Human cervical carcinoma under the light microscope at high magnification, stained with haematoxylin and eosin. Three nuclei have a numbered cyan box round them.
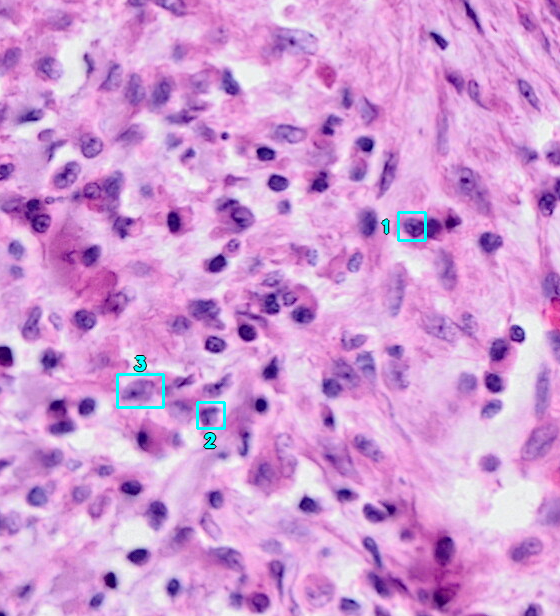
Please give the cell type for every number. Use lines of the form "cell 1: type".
cell 1: lymphocyte
cell 2: lymphocyte
cell 3: macrophage or monocyte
